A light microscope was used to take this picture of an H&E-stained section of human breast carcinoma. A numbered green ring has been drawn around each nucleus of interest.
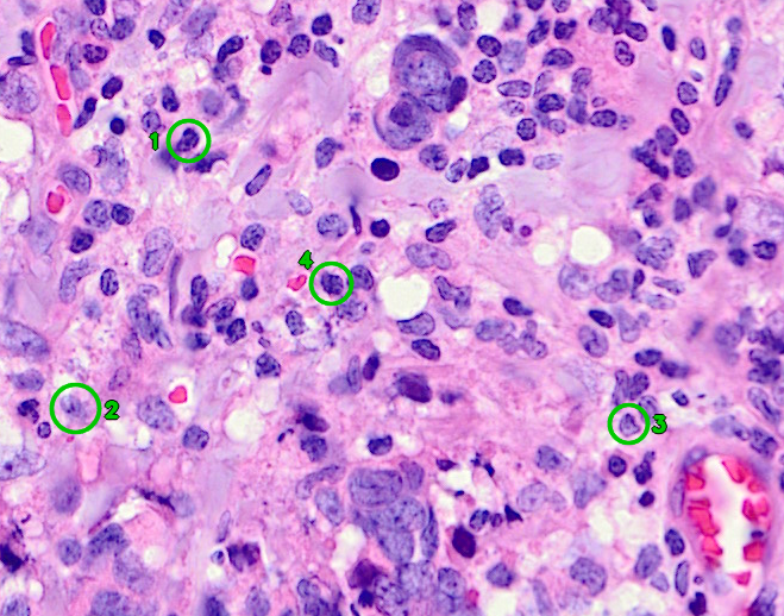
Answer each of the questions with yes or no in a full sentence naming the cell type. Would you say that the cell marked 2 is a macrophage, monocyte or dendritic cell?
Yes, the cell carrying number 2 is a macrophage, monocyte or dendritic cell.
